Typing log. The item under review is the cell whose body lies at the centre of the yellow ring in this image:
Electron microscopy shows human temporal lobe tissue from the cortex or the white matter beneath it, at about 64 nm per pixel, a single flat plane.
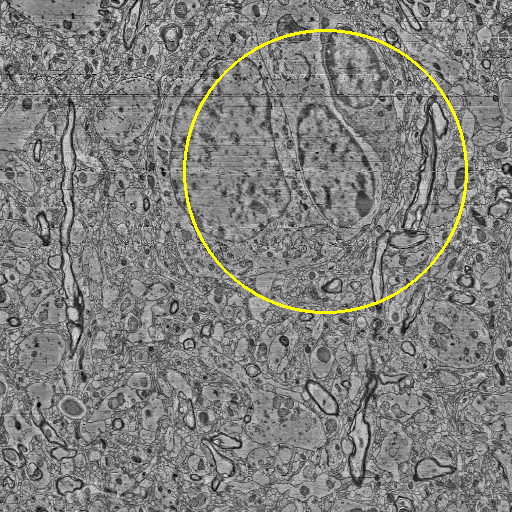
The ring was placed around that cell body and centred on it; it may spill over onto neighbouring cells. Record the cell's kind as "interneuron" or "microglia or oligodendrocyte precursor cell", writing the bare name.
microglia or oligodendrocyte precursor cell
